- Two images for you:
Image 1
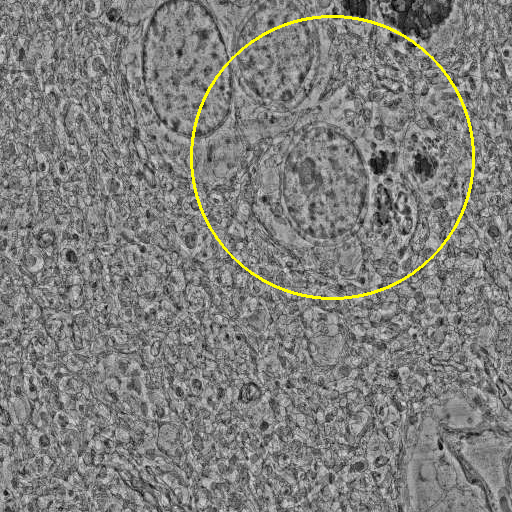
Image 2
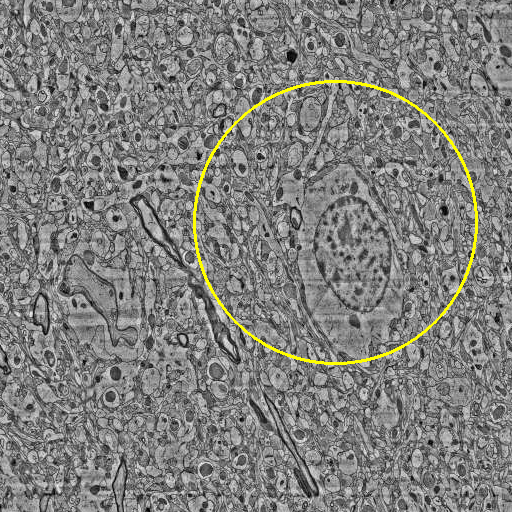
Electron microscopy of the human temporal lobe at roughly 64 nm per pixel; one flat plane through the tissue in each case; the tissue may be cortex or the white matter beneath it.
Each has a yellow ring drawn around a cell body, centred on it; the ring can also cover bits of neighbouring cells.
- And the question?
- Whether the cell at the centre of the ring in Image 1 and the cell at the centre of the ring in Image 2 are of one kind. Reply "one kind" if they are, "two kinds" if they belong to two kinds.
one kind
